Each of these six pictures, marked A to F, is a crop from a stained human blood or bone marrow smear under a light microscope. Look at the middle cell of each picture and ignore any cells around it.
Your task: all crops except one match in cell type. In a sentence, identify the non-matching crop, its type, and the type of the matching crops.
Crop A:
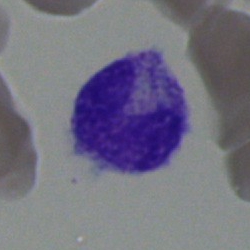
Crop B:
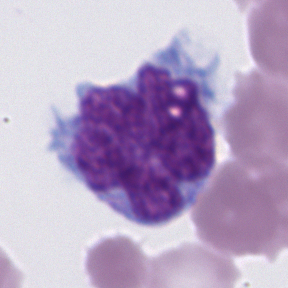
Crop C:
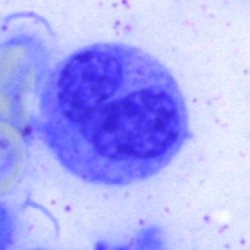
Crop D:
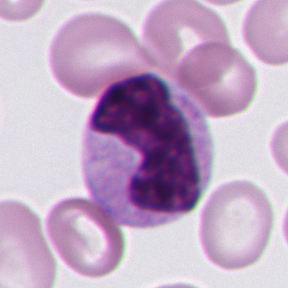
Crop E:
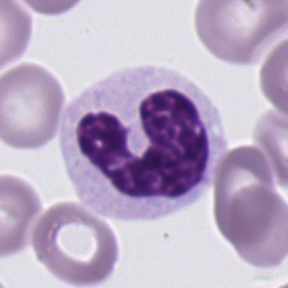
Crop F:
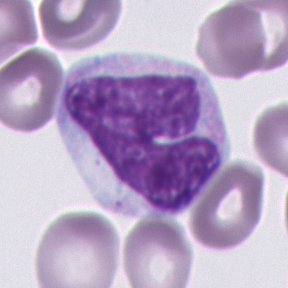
Just crop B is a monocyte; all the other crops show band neutrophils.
